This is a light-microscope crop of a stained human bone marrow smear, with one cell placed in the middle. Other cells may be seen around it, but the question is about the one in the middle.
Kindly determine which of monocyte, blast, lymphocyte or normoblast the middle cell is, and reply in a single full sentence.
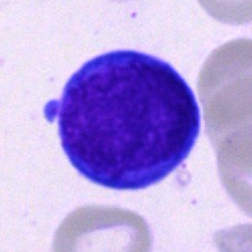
The cell in the exact centre of the crop is a blast.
